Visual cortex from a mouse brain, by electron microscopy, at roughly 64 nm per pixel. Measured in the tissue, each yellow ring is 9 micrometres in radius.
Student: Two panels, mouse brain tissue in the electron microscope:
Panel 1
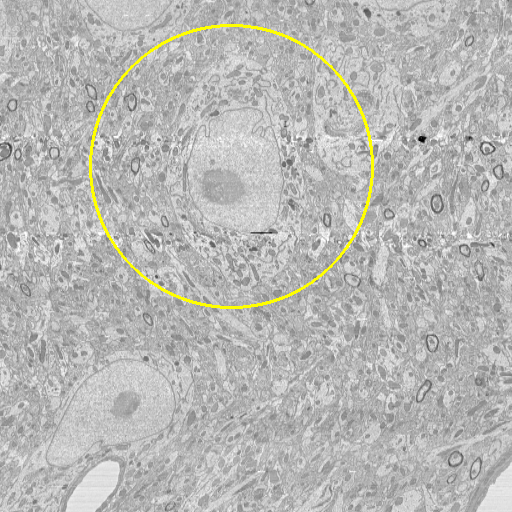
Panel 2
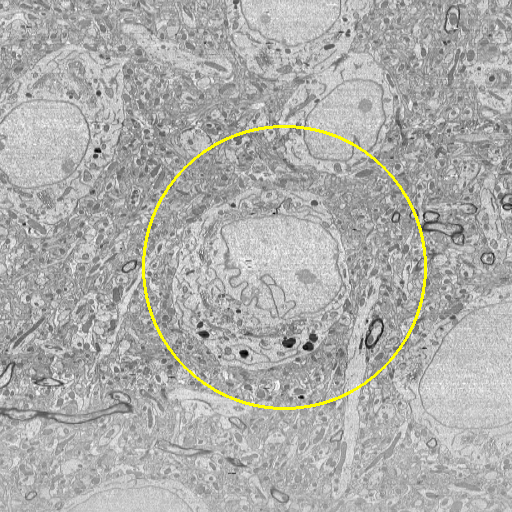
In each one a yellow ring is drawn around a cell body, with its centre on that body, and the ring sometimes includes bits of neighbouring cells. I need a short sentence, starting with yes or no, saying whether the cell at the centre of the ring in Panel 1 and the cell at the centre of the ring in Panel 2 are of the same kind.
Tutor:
Yes, they are the same kind of cell.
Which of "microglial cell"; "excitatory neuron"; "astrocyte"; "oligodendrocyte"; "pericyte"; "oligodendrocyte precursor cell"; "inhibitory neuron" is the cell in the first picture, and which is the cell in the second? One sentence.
In each picture the ringed cell is an inhibitory neuron.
